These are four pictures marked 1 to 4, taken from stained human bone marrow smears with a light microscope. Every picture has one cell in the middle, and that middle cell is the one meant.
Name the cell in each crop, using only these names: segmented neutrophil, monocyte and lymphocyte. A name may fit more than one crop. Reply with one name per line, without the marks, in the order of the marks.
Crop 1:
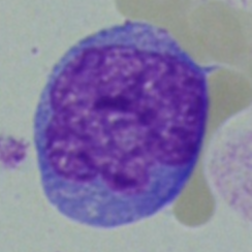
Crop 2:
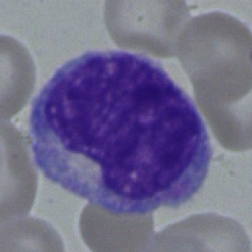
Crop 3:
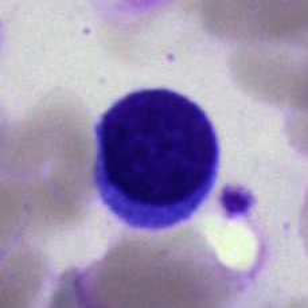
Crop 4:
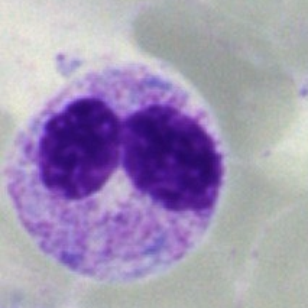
monocyte
monocyte
lymphocyte
segmented neutrophil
